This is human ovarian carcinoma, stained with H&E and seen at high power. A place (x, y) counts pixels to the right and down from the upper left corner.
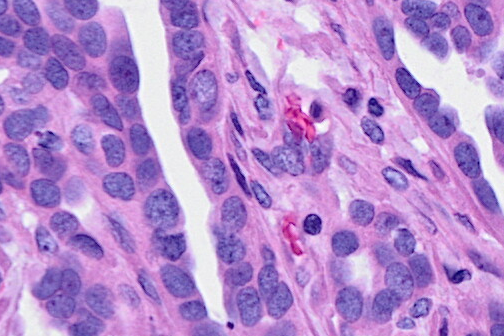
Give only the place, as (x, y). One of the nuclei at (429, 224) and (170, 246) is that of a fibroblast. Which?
(429, 224)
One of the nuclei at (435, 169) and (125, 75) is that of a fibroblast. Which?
(435, 169)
